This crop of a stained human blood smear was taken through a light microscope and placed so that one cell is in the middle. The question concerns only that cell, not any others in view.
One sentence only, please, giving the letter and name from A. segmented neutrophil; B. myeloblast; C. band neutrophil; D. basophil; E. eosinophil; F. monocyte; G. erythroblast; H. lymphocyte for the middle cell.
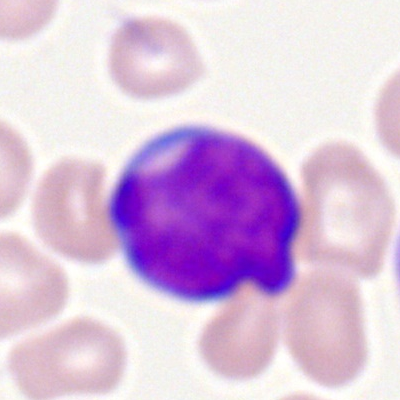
What option B states is correct, the central cell being a myeloblast.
